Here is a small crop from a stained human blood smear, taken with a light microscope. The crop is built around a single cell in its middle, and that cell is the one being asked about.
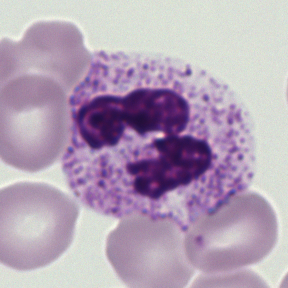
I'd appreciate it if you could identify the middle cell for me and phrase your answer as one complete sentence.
The cell centred in this crop is categorized as a neutrophil.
